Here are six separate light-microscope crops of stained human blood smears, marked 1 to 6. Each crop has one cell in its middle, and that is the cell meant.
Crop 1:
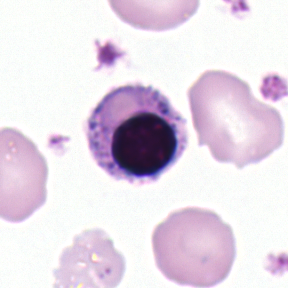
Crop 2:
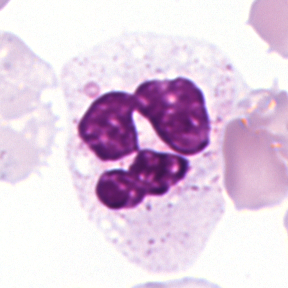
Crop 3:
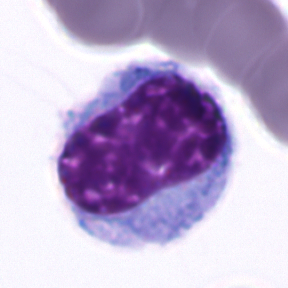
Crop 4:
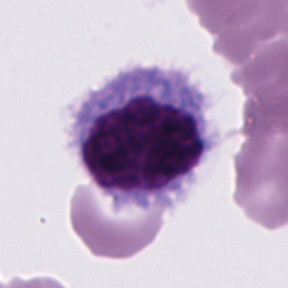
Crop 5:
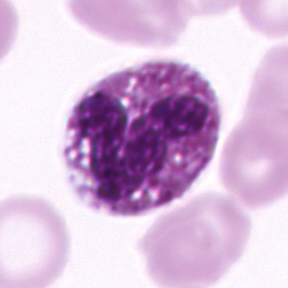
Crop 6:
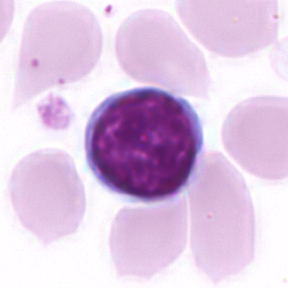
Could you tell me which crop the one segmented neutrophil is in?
2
